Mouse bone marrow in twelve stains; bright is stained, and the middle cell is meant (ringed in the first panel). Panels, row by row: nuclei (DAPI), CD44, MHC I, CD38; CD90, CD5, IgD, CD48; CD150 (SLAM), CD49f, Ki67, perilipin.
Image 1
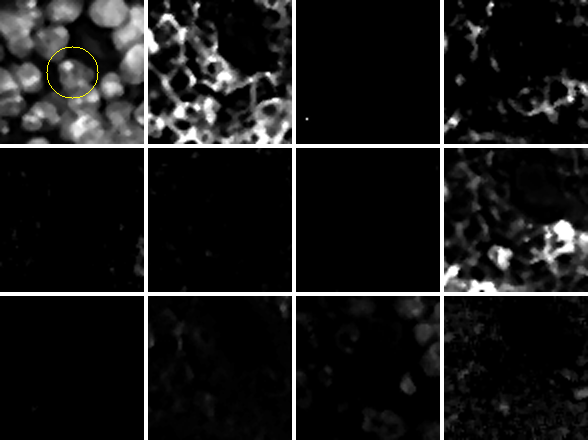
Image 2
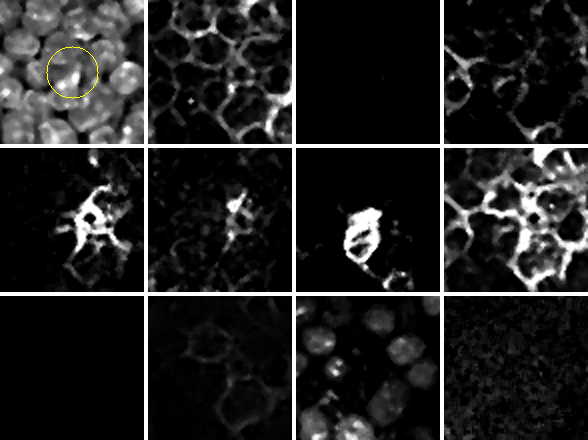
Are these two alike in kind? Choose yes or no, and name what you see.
No. First a neutrophil, second a B cell.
